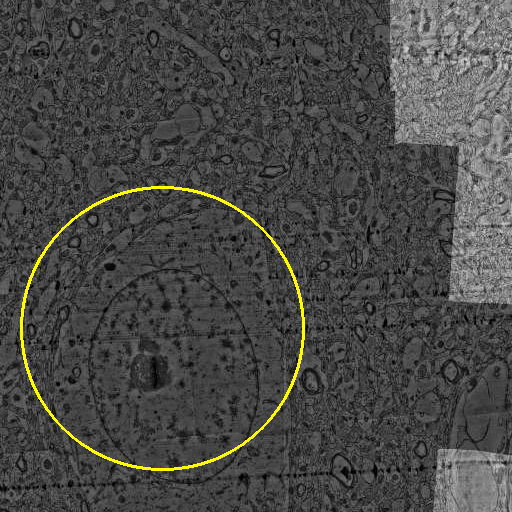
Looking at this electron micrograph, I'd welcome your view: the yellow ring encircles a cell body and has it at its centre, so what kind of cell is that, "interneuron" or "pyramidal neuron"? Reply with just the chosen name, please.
pyramidal neuron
